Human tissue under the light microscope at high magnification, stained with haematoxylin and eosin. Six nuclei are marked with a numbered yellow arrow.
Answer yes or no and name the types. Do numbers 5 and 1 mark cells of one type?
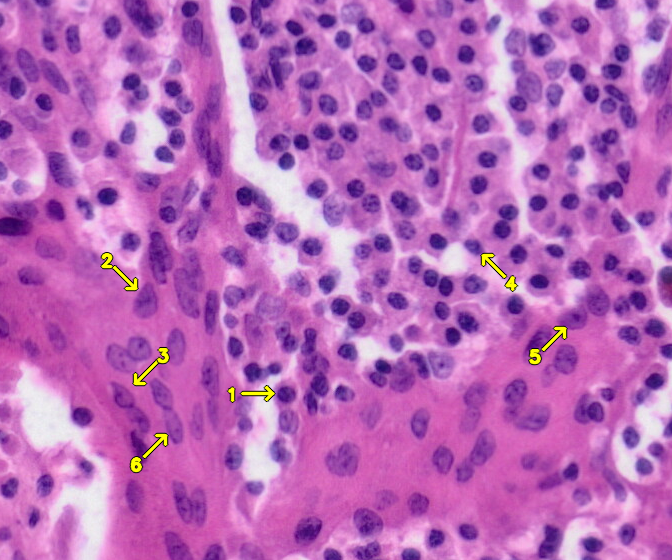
No, cell 5 is a squamous epithelial cell and cell 1 is a plasma cell.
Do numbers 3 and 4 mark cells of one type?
No, cell 3 is a squamous epithelial cell and cell 4 is a plasma cell.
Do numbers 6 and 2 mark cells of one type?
Yes, both are squamous epithelial cells.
